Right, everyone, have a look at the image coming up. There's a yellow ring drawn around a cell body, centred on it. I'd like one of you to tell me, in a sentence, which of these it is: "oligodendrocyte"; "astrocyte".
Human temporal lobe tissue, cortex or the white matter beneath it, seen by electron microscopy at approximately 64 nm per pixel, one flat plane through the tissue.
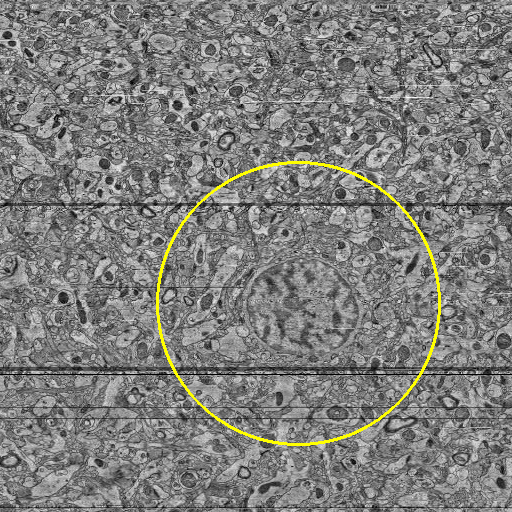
The yellow ring sits on an oligodendrocyte.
